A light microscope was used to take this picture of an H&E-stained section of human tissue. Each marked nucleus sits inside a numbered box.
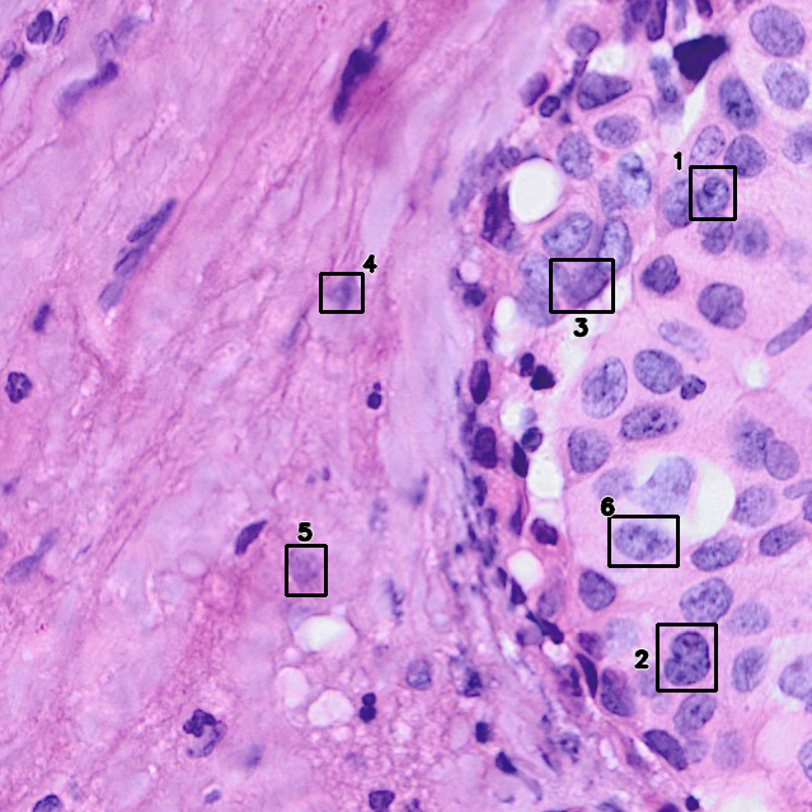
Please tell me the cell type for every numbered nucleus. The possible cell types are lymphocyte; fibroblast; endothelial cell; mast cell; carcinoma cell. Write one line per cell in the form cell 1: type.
cell 1: carcinoma cell
cell 2: carcinoma cell
cell 3: carcinoma cell
cell 4: fibroblast
cell 5: fibroblast
cell 6: carcinoma cell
